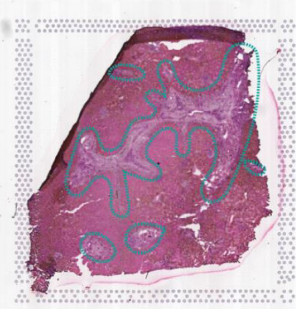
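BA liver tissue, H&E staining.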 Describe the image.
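Broad, irregular, branching bands that stain paler and more lilac-purple run through the middle of the section and link up into a network. Between and around them, the parenchyma forms dense pink-red areas, some of them rounded. A few smaller rounded pale zones lie near the lower edge. At this magnification single cells cannot be made out, so only the pattern of bands and parenchymal areas is visible.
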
